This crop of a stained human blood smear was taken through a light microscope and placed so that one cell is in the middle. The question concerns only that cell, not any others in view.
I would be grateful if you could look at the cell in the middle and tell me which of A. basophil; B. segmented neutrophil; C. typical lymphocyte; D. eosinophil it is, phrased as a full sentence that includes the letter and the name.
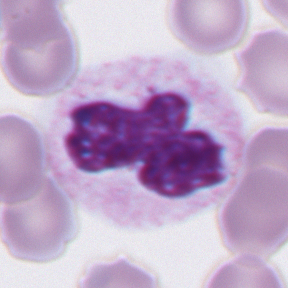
Option B is correct, naming the cell in the middle as a segmented neutrophil.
